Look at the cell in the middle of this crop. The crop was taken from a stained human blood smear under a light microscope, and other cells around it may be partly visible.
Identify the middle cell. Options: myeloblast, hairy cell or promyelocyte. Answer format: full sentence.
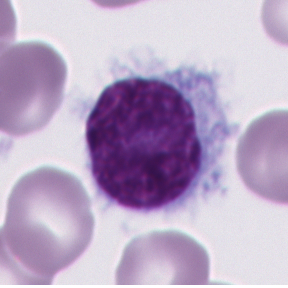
The cell in the middle of the field of view is a hairy cell.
